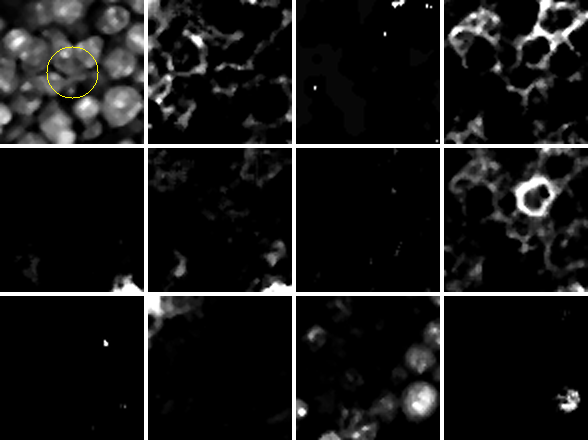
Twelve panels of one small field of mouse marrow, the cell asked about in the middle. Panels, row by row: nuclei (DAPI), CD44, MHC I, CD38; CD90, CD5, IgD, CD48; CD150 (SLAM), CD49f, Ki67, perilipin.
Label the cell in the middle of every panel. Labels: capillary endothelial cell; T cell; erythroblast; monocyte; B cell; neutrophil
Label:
monocyte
